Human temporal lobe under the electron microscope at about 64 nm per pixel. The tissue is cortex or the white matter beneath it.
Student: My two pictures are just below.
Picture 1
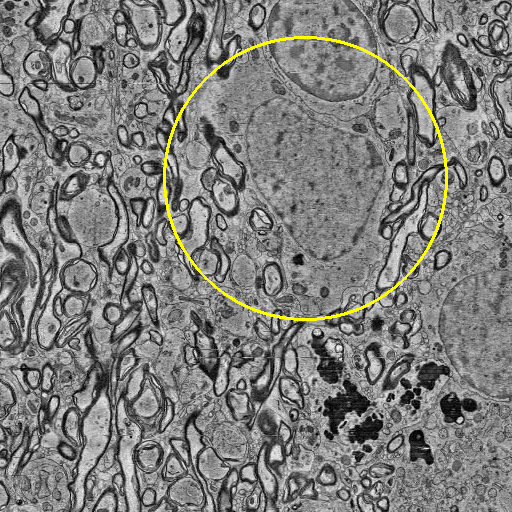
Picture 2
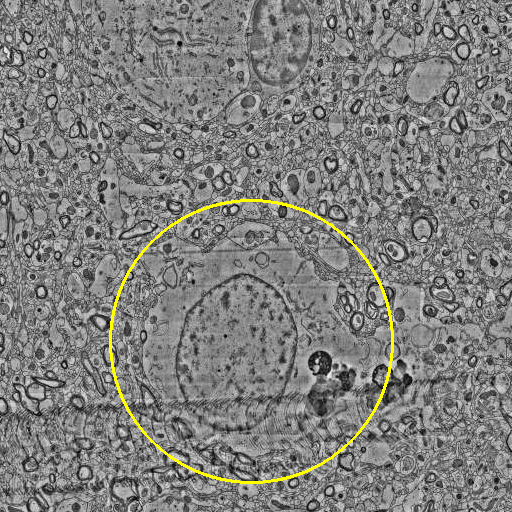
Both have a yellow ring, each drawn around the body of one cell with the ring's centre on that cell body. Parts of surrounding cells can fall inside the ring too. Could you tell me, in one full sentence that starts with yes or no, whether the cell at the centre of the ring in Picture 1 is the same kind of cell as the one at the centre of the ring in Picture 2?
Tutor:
Yes, the two cells are of the same kind.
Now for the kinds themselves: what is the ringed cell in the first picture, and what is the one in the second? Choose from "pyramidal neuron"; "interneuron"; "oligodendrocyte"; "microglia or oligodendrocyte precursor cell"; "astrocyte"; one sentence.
Both pictures show an astrocyte at the centre of the ring.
